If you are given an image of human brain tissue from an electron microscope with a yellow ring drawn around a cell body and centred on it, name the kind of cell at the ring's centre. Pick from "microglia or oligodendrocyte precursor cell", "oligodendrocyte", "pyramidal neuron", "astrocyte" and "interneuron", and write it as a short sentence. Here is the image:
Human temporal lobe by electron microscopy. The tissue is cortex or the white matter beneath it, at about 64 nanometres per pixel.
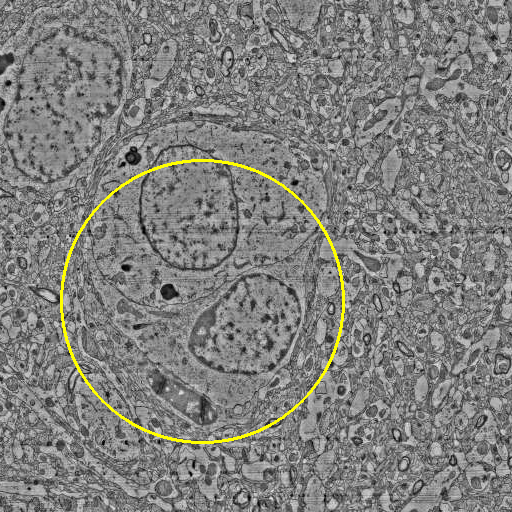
The cell at the ring's centre is a microglial cell or oligodendrocyte precursor cell.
